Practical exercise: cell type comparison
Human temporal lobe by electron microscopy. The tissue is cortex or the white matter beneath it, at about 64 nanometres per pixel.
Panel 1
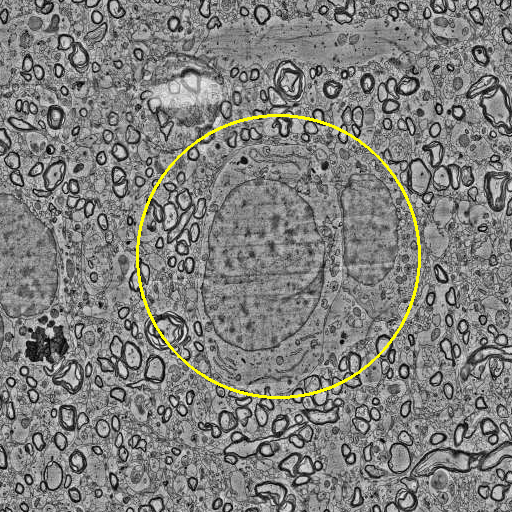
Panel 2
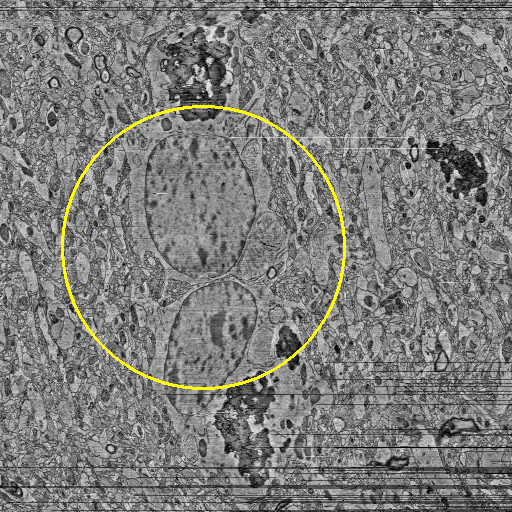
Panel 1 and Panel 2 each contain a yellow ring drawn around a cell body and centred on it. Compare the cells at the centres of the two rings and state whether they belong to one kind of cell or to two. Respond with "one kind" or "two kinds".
two kinds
